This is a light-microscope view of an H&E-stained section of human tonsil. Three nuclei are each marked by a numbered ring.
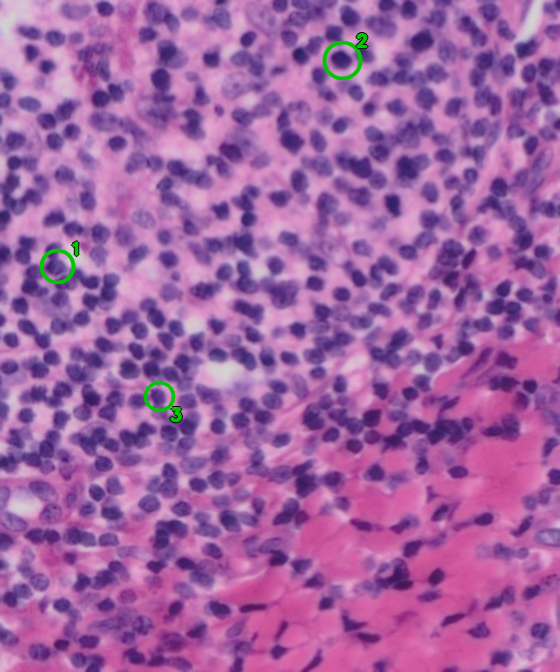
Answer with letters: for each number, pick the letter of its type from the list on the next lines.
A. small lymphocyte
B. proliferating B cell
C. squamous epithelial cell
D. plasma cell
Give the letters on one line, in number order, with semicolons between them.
A; B; A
